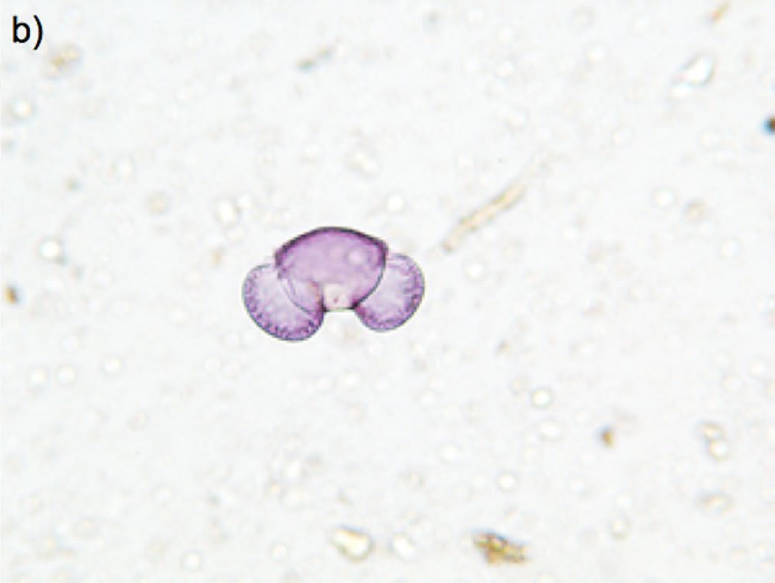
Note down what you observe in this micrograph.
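A single pollen grain, stained pink to purple, lies in a pale field with scattered small particles. It has a rounded central body with two rounded sacs attached at its sides. These side sacs are finely patterned and slightly darker at their rims. The sacs bend downward, so the grain looks like a pair of ears on a cap.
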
